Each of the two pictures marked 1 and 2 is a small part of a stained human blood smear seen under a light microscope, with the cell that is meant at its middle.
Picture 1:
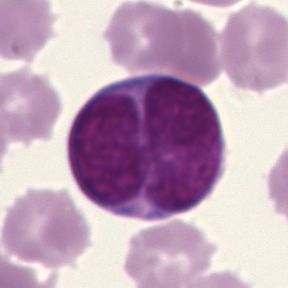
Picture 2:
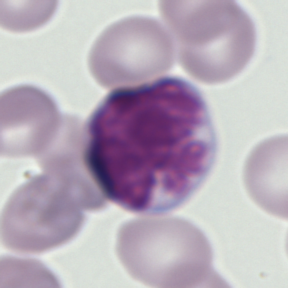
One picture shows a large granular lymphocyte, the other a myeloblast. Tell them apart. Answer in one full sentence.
The cell in picture 1 is a myeloblast, and the one in picture 2 is a large granular lymphocyte.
